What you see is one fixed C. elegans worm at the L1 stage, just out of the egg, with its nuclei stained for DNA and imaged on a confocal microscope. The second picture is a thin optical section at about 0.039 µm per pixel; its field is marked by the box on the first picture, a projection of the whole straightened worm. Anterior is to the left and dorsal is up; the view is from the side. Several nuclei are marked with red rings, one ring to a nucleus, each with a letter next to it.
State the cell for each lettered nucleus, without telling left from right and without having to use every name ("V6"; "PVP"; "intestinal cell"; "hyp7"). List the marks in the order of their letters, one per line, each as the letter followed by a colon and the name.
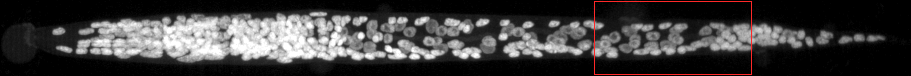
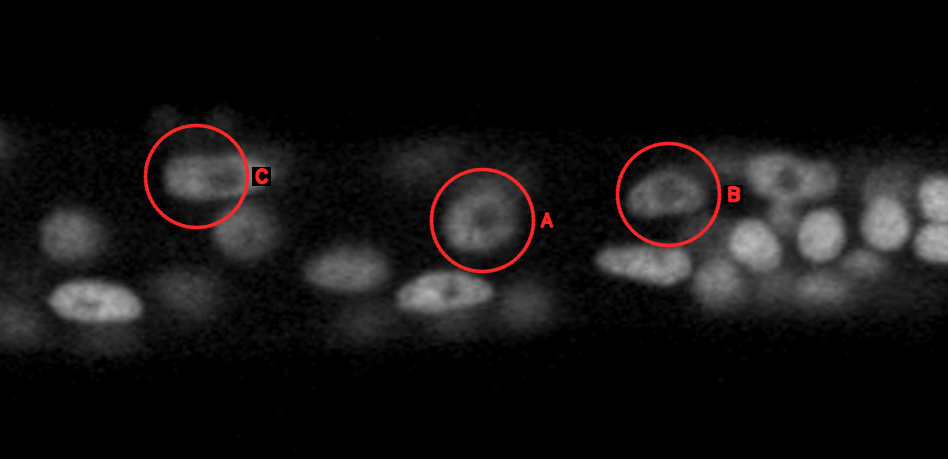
A: V6
B: intestinal cell
C: hyp7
